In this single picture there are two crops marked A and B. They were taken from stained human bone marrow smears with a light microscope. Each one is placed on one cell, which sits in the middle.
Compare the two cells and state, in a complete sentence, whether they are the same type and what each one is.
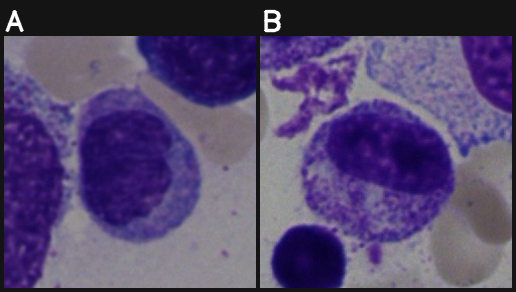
No, a monocyte is centred in crop A, and a myelocyte is centred in crop B.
